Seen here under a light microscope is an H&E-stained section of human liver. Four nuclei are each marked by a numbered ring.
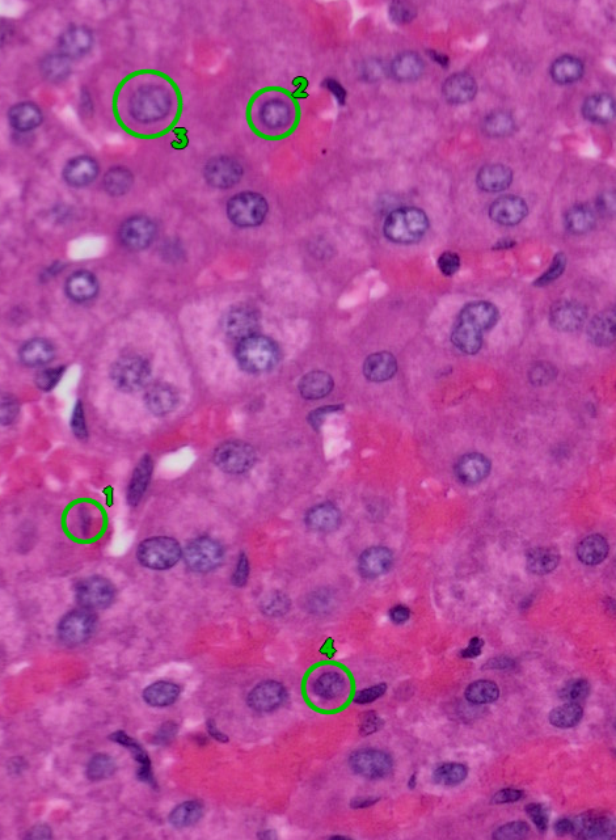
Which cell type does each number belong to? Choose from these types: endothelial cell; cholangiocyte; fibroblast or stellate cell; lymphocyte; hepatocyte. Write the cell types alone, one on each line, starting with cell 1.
endothelial cell
hepatocyte
hepatocyte
hepatocyte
